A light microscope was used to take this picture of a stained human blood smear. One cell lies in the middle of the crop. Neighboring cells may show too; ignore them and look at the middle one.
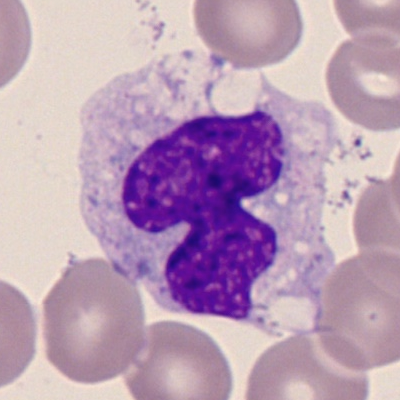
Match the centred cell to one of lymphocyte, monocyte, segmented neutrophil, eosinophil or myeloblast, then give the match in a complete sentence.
At the center of the crop sits a monocyte.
